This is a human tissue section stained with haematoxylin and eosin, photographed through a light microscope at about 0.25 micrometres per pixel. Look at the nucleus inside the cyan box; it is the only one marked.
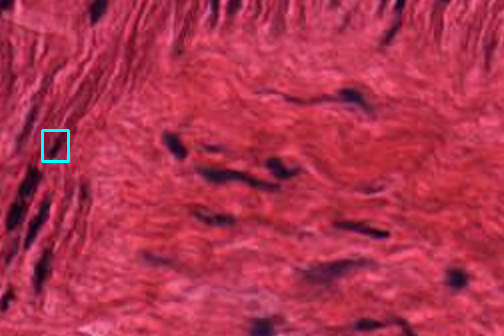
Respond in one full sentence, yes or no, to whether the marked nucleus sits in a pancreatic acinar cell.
No, the marked nucleus is not contained in a pancreatic acinar cell.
